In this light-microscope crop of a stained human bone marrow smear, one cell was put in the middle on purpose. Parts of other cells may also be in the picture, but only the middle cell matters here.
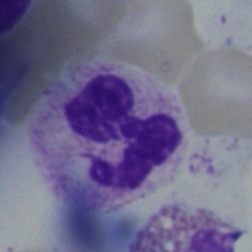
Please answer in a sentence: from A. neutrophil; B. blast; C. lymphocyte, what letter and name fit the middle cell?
The cell at the centre is a neutrophil, and option A accordingly is correct.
